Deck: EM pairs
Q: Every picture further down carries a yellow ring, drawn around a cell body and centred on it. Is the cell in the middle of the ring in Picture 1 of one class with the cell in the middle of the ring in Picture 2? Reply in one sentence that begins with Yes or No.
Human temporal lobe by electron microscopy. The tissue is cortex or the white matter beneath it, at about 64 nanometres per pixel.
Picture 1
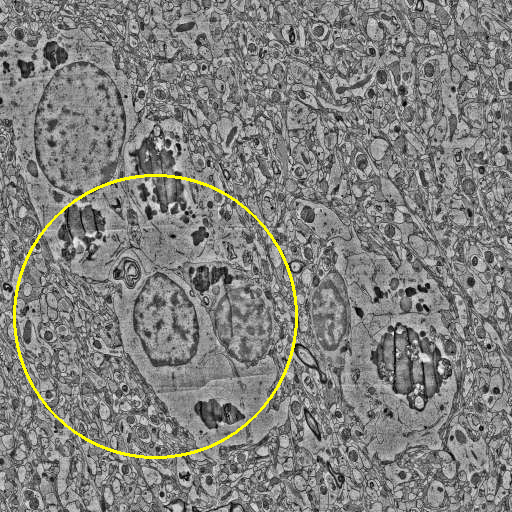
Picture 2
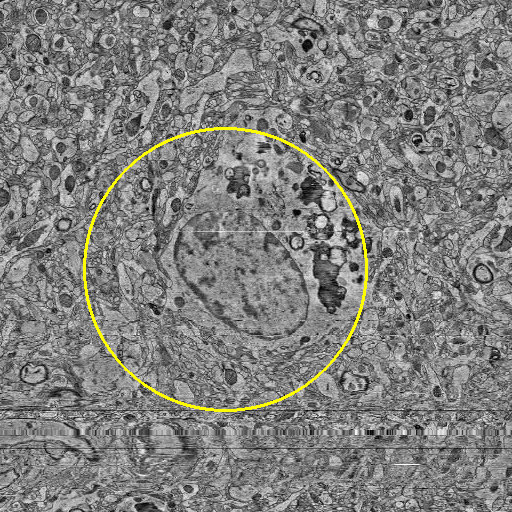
Yes, the cell centred in the ring of Picture 1 and the one in Picture 2 belong to one class.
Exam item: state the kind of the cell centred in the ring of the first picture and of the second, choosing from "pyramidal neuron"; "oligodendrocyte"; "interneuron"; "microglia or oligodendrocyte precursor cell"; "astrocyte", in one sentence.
The ring centre holds an astrocyte in each of the two pictures.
